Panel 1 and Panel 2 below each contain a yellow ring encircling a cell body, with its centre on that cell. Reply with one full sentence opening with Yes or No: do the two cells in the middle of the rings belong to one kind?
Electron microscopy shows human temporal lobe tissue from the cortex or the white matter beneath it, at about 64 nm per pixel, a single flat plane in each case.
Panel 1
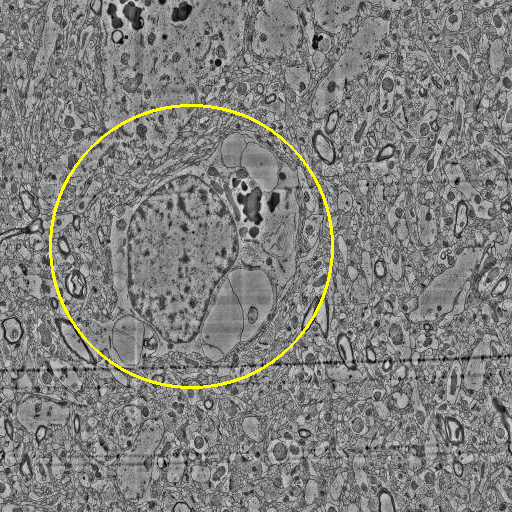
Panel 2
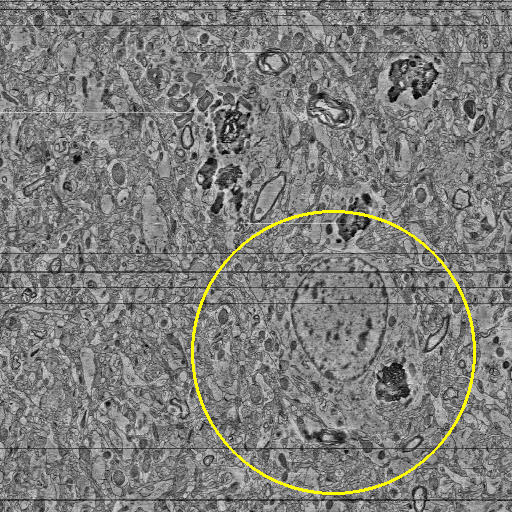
Yes, the cells at the middle of the Panel 1 ring and the Panel 2 ring are of one kind.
